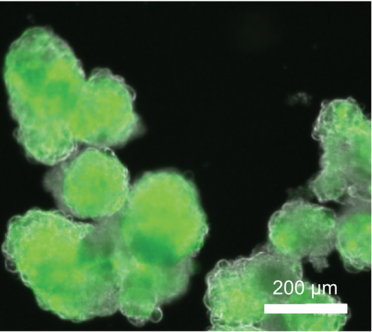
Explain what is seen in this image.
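Several spheroids of roughly similar size, about the length of the scale bar across, lie clustered together, some touching or fused at their edges. Single cells cannot be clearly made out inside the aggregates; they show only as a bumpy outline at the edges.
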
